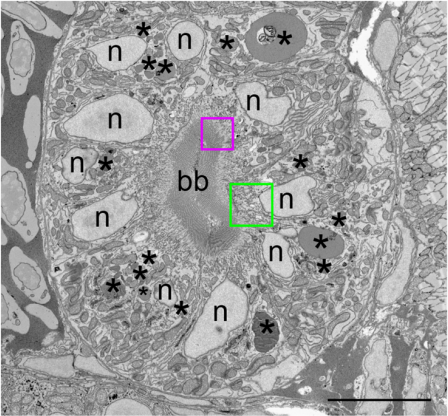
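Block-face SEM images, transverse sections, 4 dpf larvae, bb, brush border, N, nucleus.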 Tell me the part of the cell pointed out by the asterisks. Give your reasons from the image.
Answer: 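The asterisks mark dark, electron-dense round bodies in the cytoplasm. Some of these bodies are large with dense, mottled contents. So: lysosomes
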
